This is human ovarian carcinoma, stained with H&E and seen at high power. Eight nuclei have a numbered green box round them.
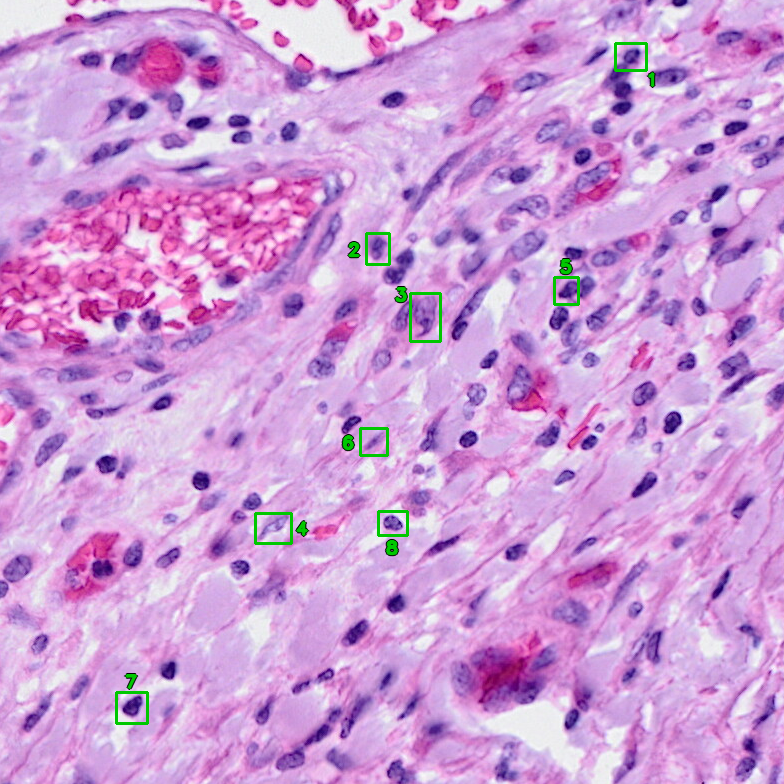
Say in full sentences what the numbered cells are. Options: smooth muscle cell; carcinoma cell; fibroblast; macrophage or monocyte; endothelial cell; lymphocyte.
Cell 1 is a lymphocyte, cell 2 is a lymphocyte, cell 3 is an endothelial cell, cell 4 is a fibroblast, cell 5 is a lymphocyte, cell 6 is a fibroblast, cell 7 is a lymphocyte and cell 8 is a lymphocyte.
